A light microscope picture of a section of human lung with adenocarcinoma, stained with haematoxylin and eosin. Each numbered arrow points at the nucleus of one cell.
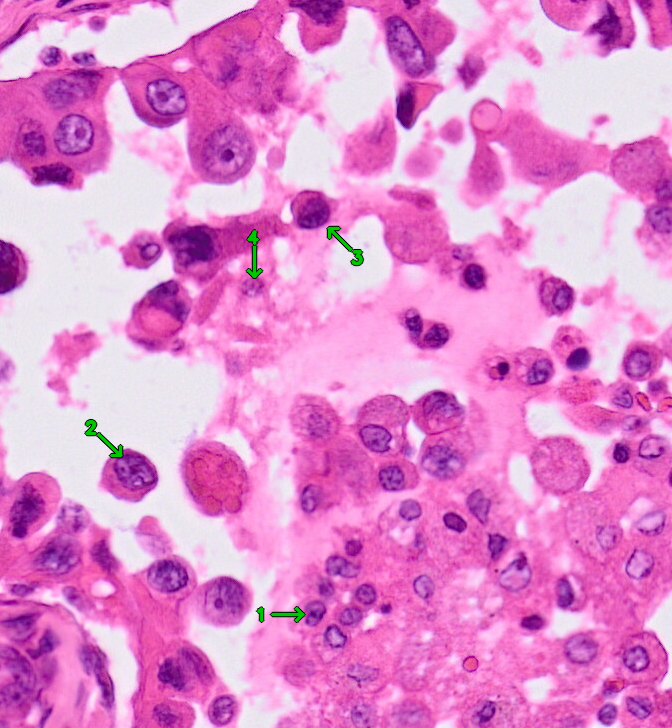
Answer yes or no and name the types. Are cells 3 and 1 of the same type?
No, cell 3 is a carcinoma cell and cell 1 is a macrophage or monocyte.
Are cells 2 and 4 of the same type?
No, cell 2 is a carcinoma cell and cell 4 is a macrophage or monocyte.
